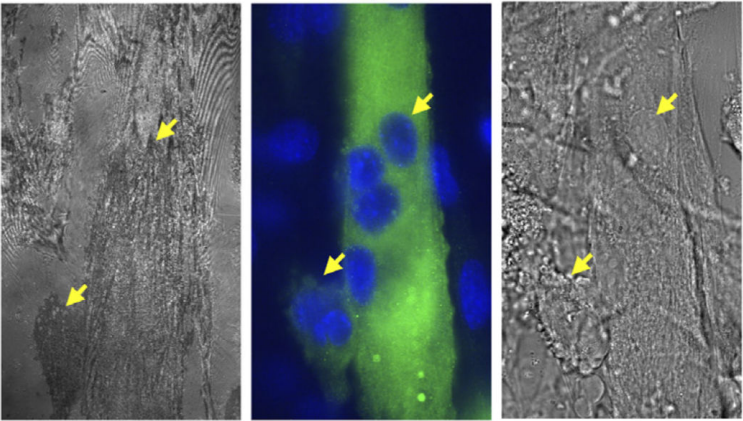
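The same field of cultured cells is shown three times, with a multinucleated myotube running down the middle. In the reflection and differential interference views the same elongated cell appears as a broad textured band with fine streaks along its length, flanked by flatter neighbouring cells.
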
